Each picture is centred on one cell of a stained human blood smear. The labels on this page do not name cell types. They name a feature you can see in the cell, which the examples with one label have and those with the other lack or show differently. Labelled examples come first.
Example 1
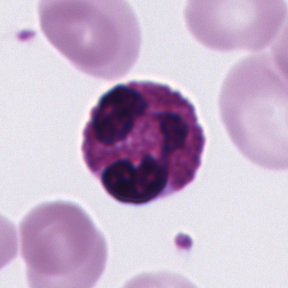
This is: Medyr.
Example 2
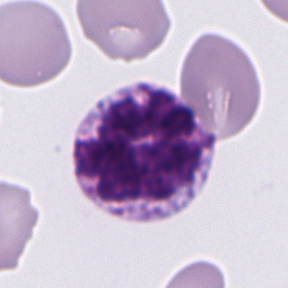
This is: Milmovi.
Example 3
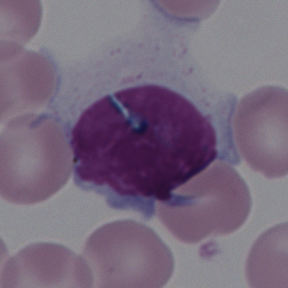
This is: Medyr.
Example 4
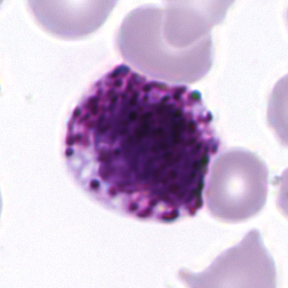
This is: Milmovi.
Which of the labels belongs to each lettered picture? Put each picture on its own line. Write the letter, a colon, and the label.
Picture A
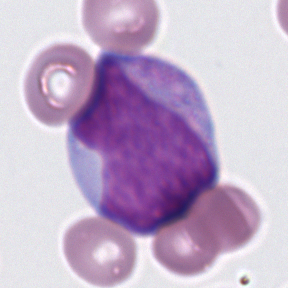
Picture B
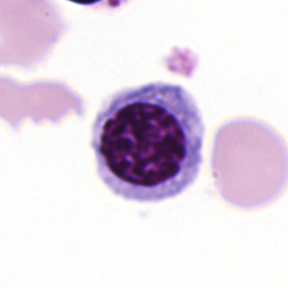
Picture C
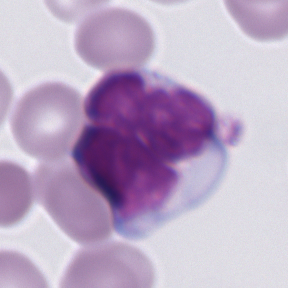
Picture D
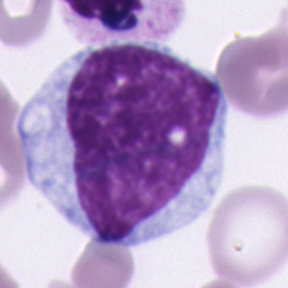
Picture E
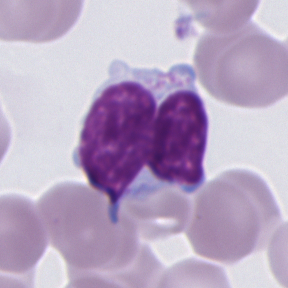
A: Milmovi.
B: Milmovi.
C: Medyr.
D: Milmovi.
E: Medyr.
